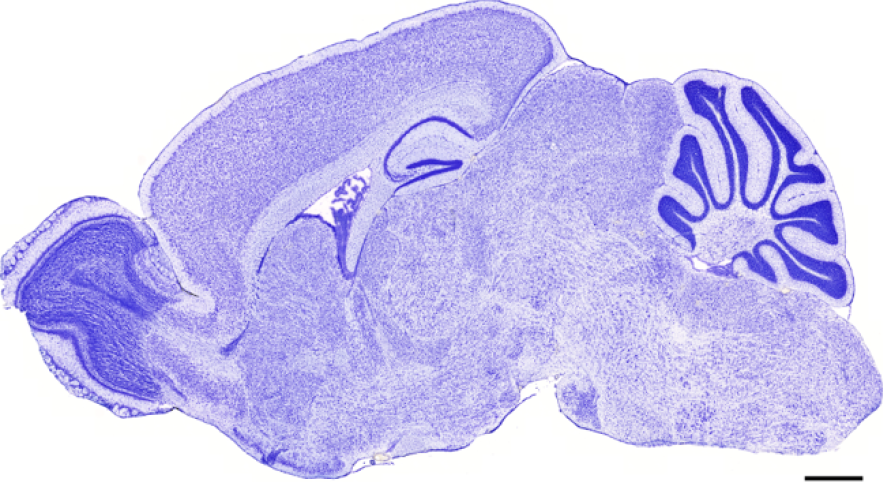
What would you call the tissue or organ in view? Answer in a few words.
Brains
